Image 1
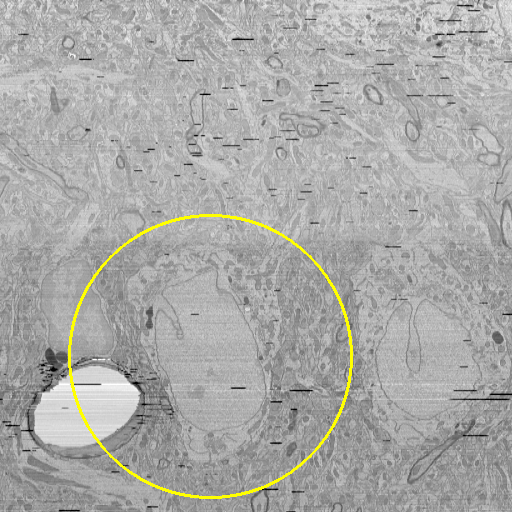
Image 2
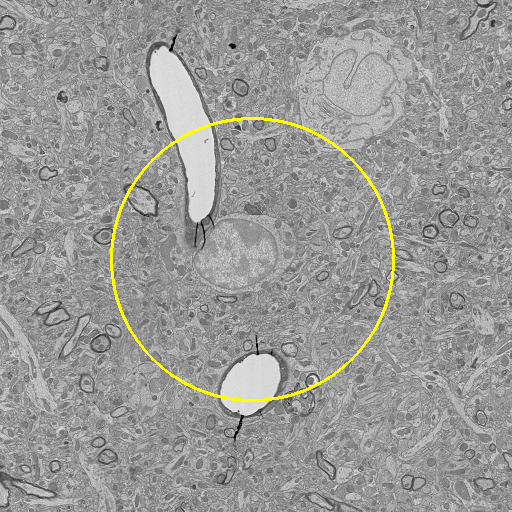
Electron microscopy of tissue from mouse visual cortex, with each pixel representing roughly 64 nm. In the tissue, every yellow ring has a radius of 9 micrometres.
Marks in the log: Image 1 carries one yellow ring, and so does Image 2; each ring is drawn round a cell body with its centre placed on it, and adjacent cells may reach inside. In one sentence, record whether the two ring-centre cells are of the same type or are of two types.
The two cells at the ring centres, one in each image, are of two types.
